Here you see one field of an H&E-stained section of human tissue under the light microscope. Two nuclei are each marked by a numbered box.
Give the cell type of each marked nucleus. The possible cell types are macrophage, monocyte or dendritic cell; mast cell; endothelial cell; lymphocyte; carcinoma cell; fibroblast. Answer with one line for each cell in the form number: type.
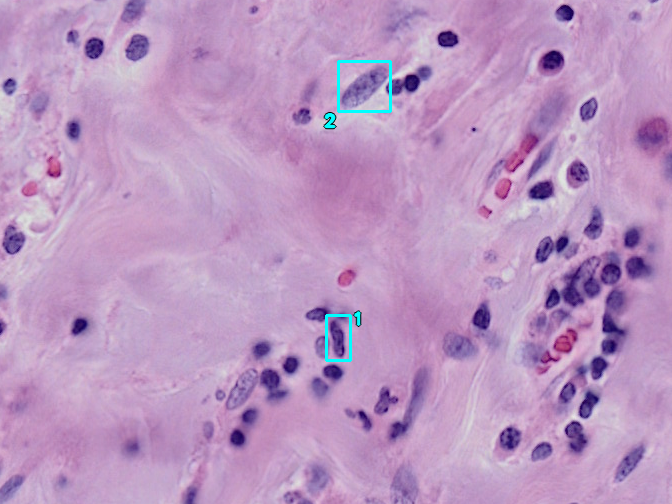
1: lymphocyte
2: fibroblast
